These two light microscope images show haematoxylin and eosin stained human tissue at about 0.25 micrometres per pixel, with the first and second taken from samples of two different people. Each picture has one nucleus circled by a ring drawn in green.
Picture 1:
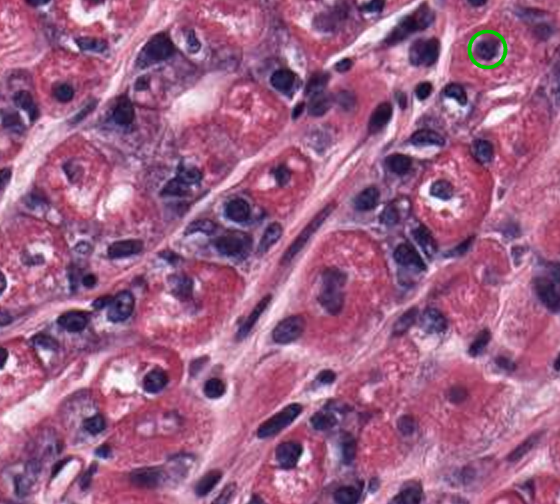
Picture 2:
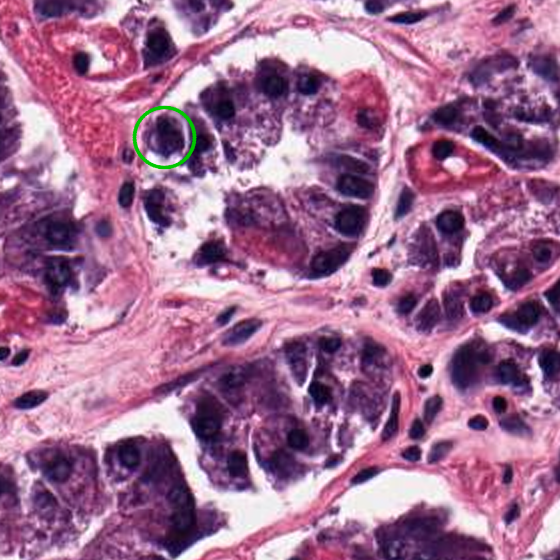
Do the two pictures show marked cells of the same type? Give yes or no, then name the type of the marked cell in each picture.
No, the first is a parietal cell and the second a chief cell.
